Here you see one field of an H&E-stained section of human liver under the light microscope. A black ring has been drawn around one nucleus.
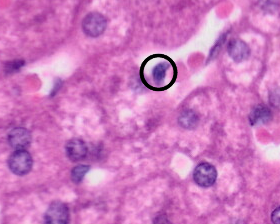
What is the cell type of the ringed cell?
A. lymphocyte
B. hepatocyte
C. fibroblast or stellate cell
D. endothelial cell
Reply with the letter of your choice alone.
A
